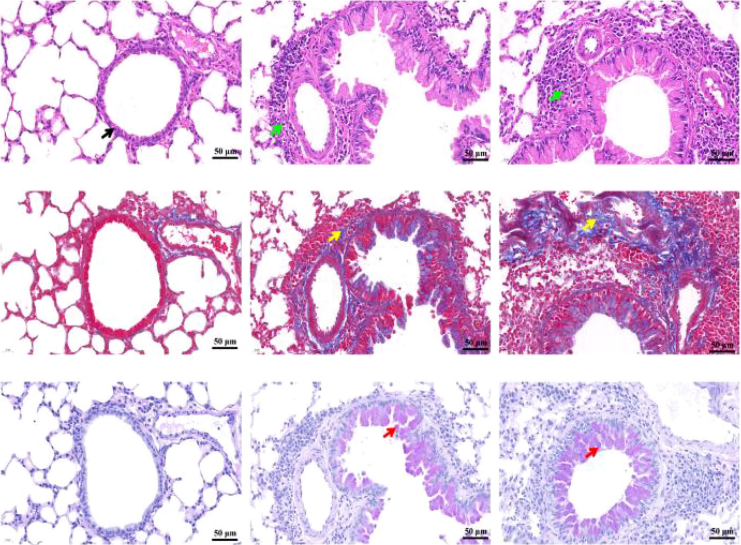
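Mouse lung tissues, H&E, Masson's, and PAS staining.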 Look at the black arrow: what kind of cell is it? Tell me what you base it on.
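Airway epithelial cells. The black arrow points to the thin cell layer lining the airway lumen. The arrowed layer is a single row of cells with purple nuclei.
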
